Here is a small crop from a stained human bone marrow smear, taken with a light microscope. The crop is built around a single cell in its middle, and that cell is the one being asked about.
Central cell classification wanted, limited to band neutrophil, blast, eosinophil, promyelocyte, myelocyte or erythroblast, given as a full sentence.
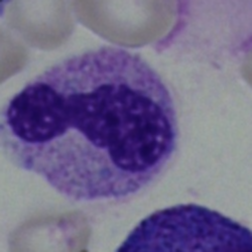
This particular crop is centered on a band neutrophil.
